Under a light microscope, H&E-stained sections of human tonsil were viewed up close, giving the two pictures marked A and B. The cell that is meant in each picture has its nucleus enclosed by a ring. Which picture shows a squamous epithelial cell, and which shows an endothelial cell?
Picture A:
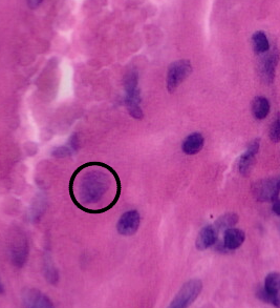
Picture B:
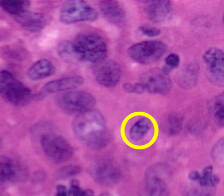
A: endothelial cell
B: squamous epithelial cell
